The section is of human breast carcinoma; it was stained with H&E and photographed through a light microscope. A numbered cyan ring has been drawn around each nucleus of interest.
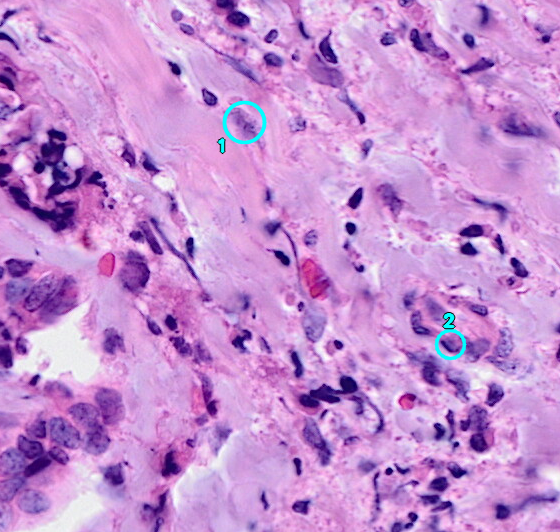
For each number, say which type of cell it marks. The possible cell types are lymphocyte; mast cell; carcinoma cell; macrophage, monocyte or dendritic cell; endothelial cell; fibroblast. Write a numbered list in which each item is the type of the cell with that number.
1. fibroblast
2. endothelial cell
